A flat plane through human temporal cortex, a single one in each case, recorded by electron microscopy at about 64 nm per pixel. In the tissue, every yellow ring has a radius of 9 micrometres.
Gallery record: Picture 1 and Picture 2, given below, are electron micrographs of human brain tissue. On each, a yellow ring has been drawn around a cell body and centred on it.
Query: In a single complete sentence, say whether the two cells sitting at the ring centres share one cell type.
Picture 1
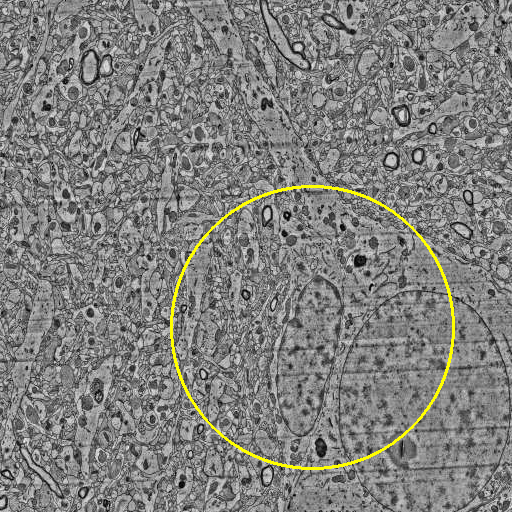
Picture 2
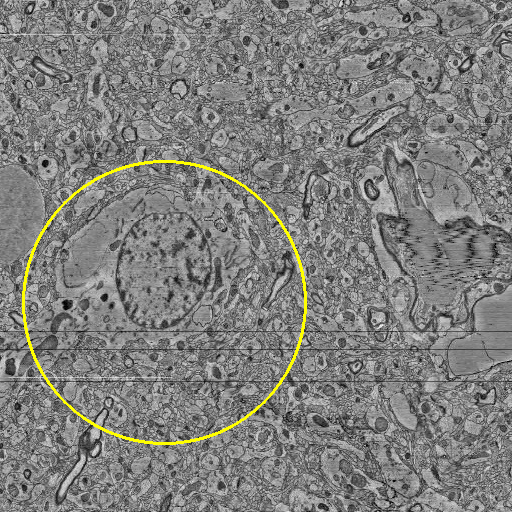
No, in the two pictures the cells at the rings' centres are of two separate types.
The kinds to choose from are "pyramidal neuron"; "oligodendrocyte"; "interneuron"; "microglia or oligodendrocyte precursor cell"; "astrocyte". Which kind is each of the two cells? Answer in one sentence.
Of the two, the first cell is a microglial cell or oligodendrocyte precursor cell and the second cell is an astrocyte.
